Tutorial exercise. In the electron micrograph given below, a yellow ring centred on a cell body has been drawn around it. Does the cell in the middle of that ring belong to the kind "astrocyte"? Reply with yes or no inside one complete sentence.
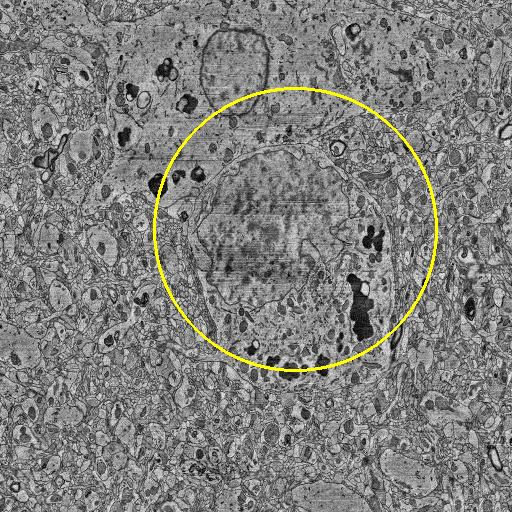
No, the cell at the centre of the ring in the picture is of a different kind.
